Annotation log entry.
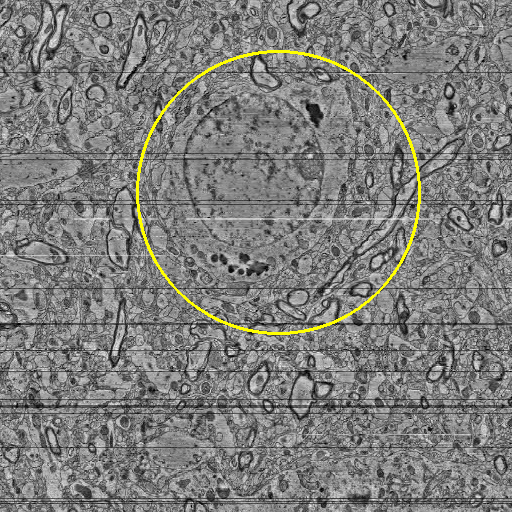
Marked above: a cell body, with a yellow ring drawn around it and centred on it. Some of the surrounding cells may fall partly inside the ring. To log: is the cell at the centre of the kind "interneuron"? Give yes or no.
Yes, the cell at the centre is of that kind.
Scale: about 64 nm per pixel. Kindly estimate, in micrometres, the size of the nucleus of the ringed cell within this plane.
In this plane, about 11 micrometres in length and 9 in width.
